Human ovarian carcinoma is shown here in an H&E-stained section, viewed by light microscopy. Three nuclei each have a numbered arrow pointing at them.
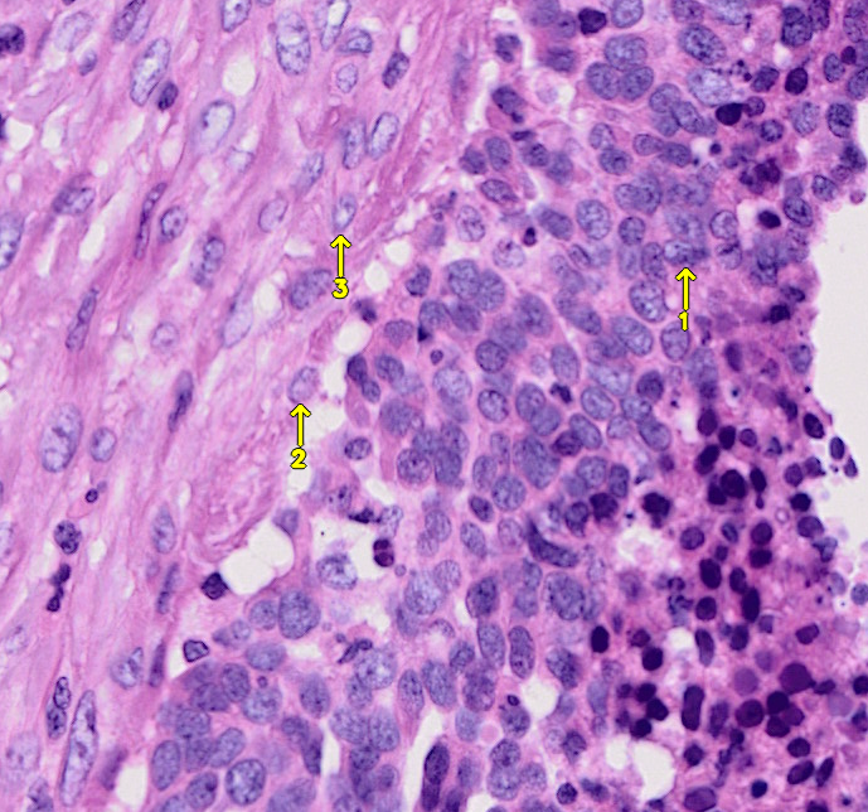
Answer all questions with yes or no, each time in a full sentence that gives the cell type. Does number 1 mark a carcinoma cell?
Yes, the cell pointed out as number 1 is a carcinoma cell.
